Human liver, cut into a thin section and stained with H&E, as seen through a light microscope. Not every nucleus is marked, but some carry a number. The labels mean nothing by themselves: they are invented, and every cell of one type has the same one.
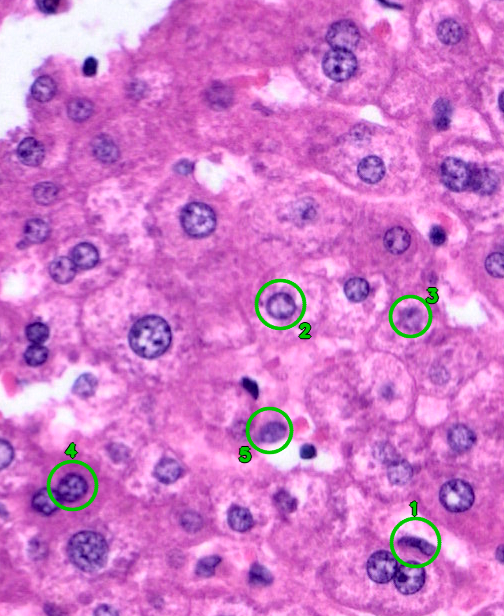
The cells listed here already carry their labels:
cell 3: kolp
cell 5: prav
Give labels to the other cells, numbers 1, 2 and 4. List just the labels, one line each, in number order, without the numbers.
prav
kolp
kolp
